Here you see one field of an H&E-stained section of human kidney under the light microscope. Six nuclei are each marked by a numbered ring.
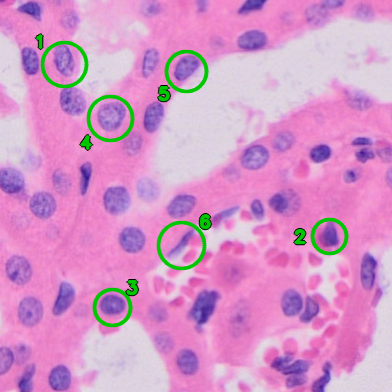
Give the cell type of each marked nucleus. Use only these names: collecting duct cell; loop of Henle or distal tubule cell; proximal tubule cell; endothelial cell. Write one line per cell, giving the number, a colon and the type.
1: loop of Henle or distal tubule cell
2: endothelial cell
3: loop of Henle or distal tubule cell
4: loop of Henle or distal tubule cell
5: loop of Henle or distal tubule cell
6: endothelial cell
